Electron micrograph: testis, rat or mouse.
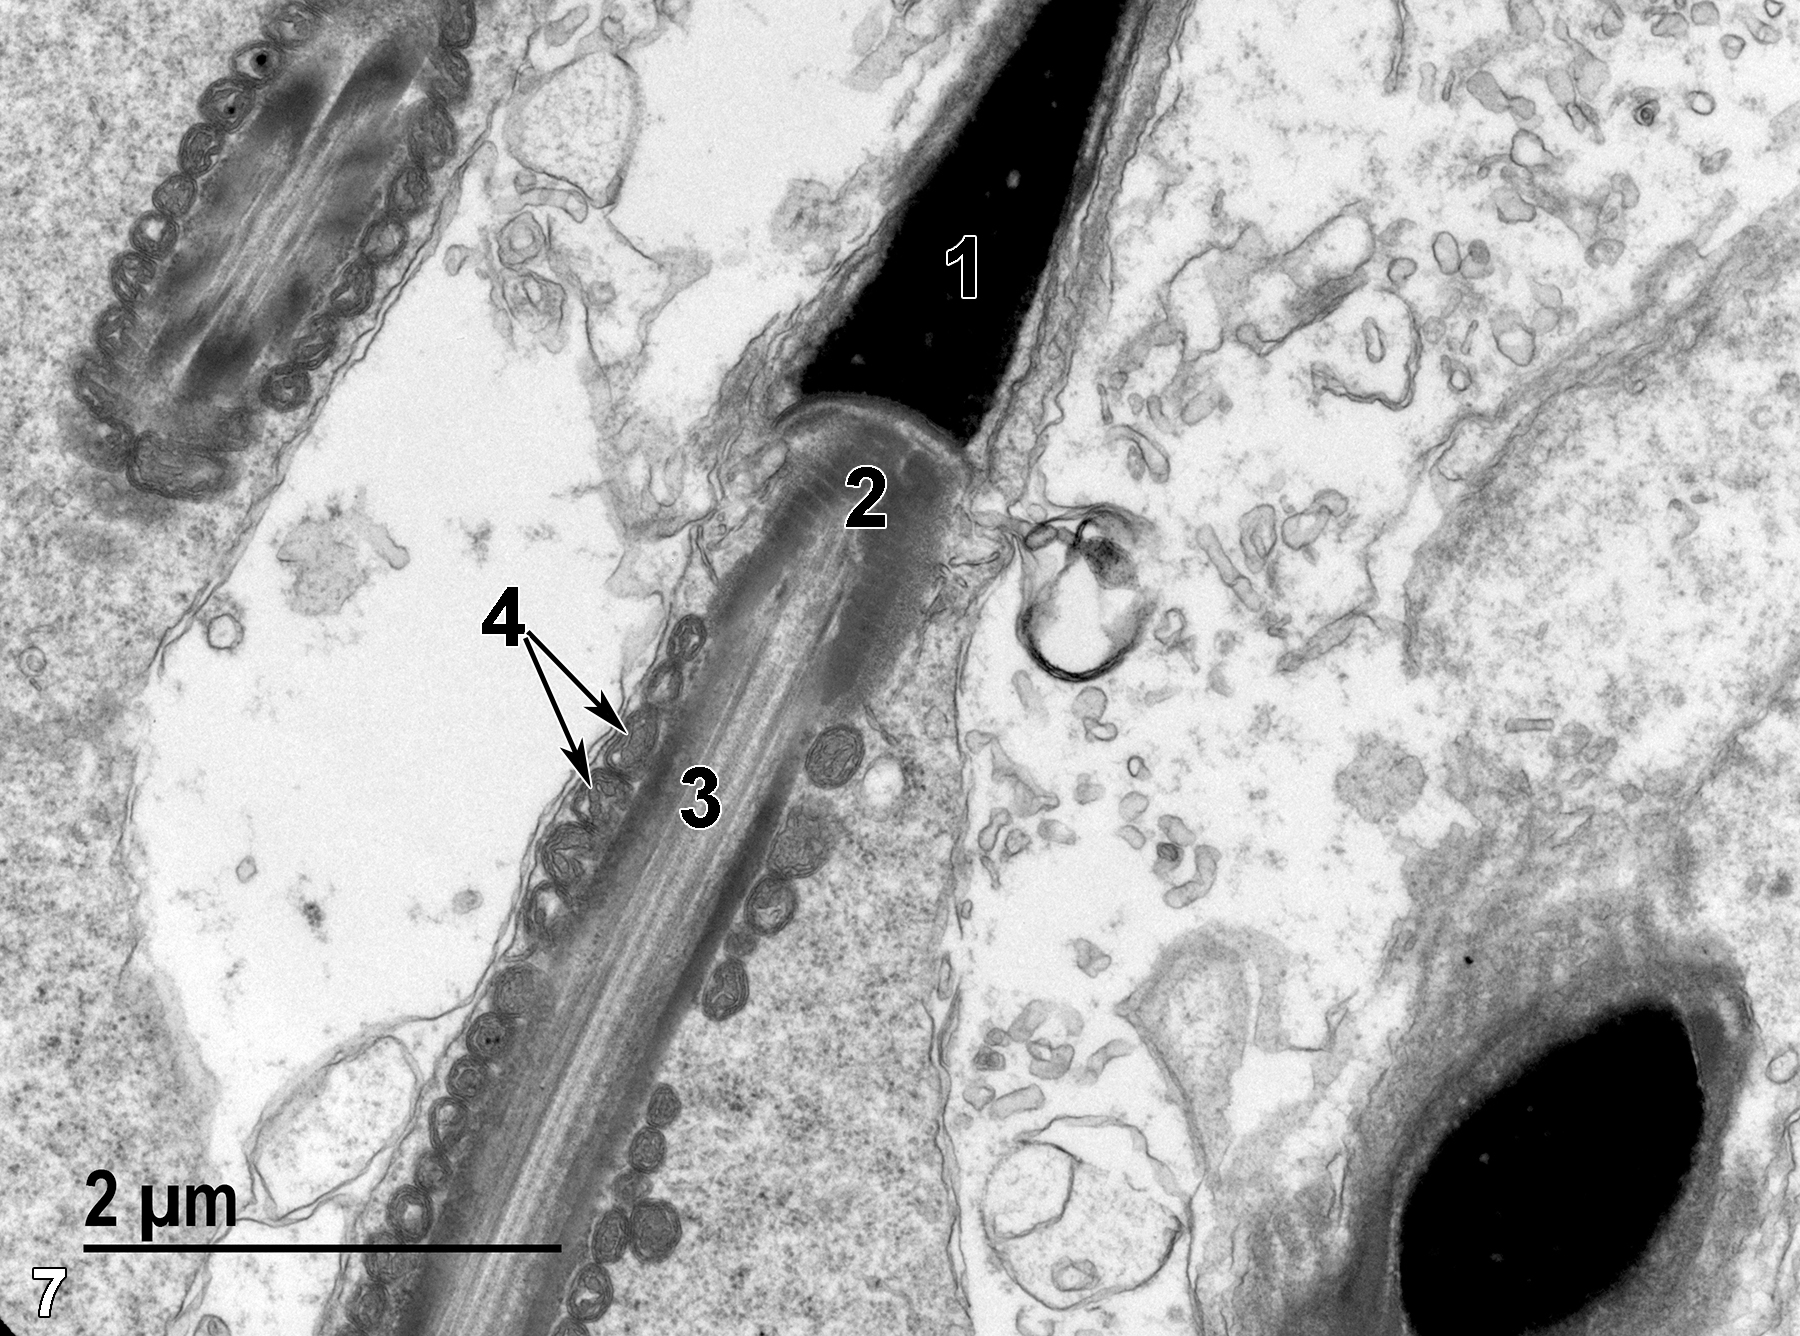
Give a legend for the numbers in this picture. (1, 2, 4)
1 - nucleus
2 - neck
4 - mitochondria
